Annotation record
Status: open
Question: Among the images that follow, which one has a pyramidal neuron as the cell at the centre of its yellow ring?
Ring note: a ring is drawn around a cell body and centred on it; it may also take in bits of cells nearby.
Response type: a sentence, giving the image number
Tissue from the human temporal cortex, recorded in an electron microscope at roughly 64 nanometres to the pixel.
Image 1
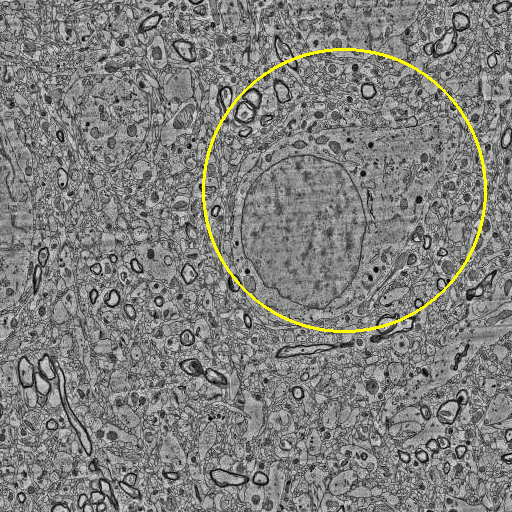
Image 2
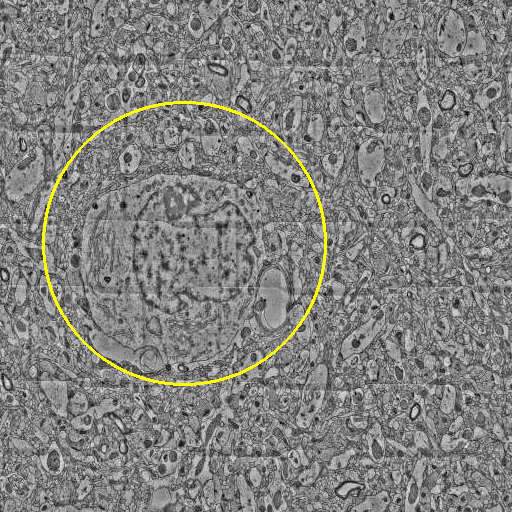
Image 1 shows it at the centre of its ring.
